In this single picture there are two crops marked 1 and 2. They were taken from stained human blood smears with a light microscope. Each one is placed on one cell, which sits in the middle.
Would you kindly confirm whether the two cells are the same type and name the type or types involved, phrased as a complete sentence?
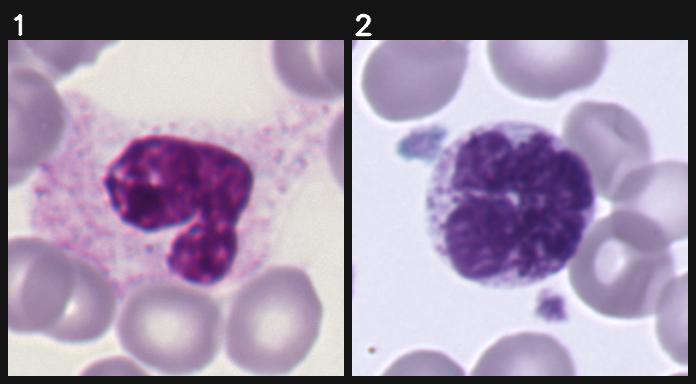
No, crop 1 is the one with a segmented neutrophil; crop 2 has a basophil.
